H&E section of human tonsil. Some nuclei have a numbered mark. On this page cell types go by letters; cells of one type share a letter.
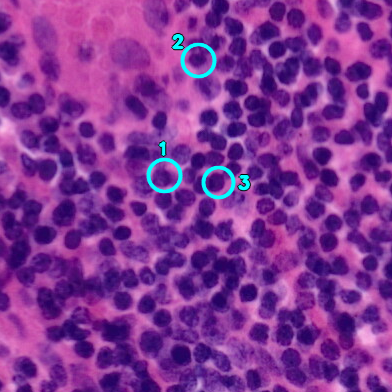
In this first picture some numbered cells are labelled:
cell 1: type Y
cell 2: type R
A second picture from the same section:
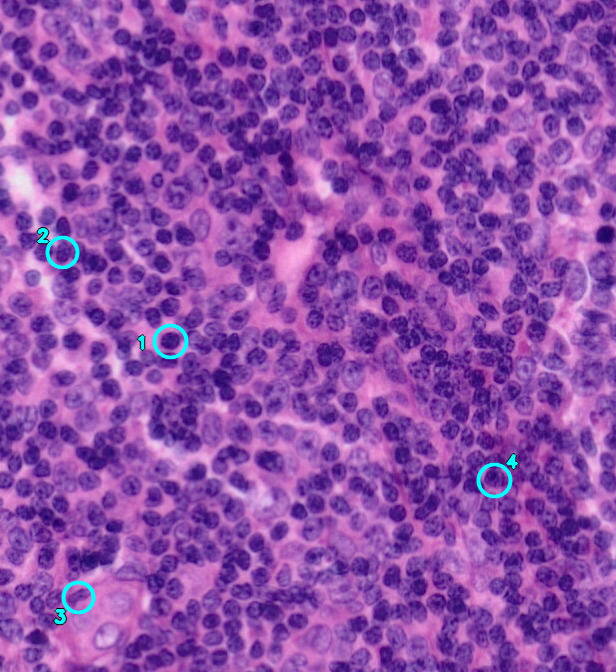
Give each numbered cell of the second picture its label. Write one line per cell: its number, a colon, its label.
1: type Y
2: type Y
3: type R
4: type Y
